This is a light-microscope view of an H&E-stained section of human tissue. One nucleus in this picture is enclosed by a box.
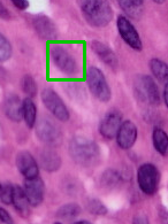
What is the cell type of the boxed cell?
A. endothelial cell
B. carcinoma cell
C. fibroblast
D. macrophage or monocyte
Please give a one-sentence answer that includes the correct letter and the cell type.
In agreement with option B, the boxed cell is a carcinoma cell.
